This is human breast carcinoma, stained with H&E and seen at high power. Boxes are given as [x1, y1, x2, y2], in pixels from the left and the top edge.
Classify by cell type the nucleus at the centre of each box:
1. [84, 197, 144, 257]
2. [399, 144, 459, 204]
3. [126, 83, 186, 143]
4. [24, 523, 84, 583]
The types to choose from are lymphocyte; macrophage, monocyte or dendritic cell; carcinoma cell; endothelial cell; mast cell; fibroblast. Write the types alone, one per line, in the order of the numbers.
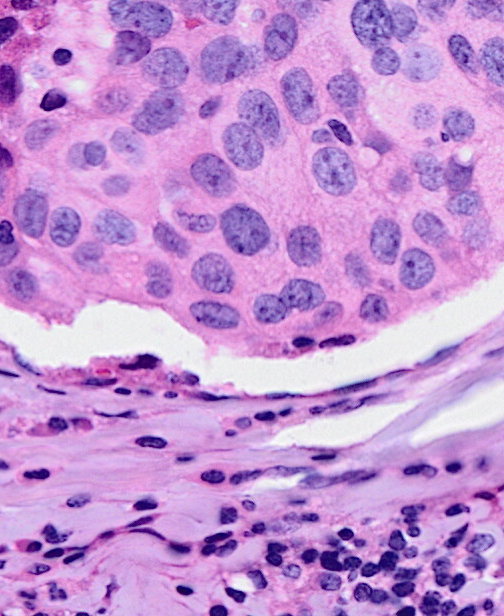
carcinoma cell
carcinoma cell
carcinoma cell
lymphocyte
